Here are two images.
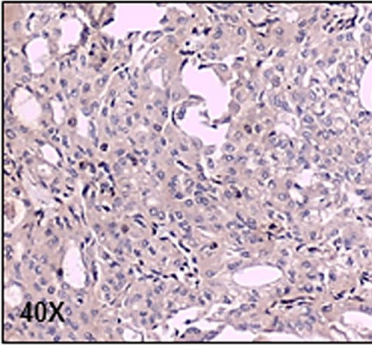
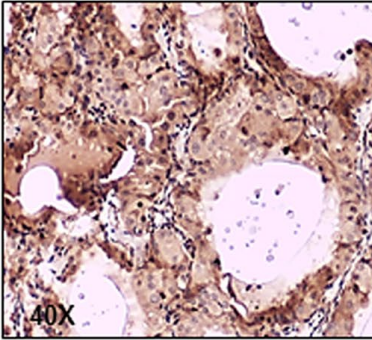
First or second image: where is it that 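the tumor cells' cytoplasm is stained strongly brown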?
the second image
